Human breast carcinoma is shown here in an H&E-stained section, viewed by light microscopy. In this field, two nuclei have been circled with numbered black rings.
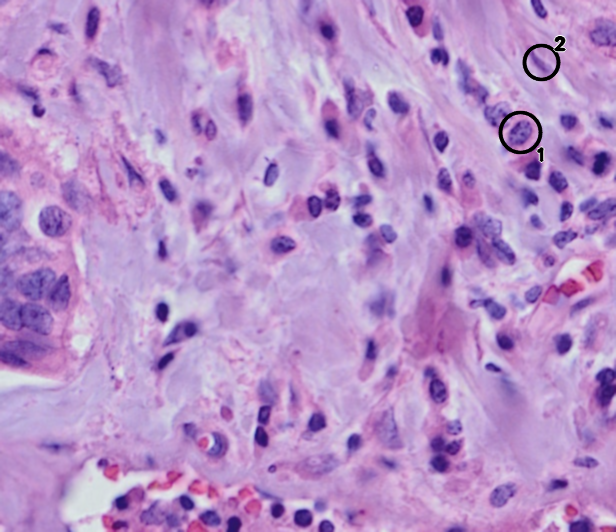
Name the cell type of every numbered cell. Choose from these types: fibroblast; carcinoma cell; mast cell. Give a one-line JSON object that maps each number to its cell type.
{"1": "mast cell", "2": "fibroblast"}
